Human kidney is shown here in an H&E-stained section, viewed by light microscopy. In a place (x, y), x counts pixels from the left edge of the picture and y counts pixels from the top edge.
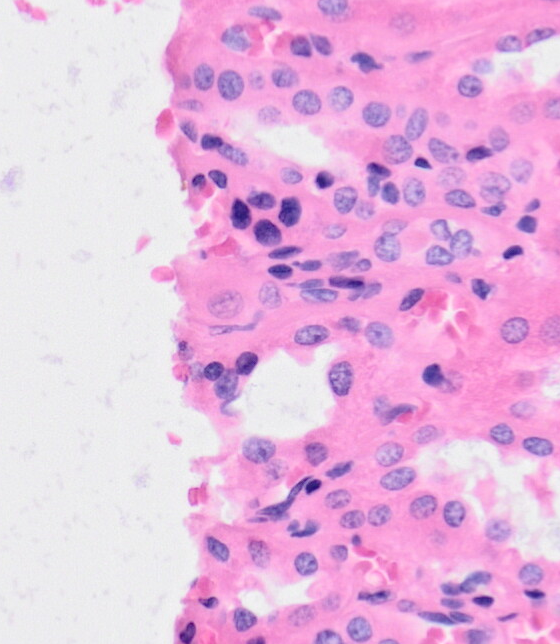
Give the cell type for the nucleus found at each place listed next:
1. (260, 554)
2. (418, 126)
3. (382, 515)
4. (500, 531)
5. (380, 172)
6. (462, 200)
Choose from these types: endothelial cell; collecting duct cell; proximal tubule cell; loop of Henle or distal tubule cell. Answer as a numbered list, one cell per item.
1. loop of Henle or distal tubule cell
2. collecting duct cell
3. loop of Henle or distal tubule cell
4. loop of Henle or distal tubule cell
5. collecting duct cell
6. collecting duct cell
